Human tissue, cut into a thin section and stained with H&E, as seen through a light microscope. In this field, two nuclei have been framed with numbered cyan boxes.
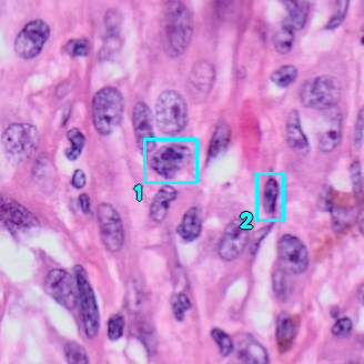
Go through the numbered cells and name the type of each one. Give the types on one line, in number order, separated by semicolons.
melanoma cell; lymphocyte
